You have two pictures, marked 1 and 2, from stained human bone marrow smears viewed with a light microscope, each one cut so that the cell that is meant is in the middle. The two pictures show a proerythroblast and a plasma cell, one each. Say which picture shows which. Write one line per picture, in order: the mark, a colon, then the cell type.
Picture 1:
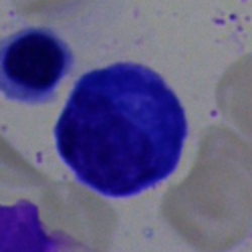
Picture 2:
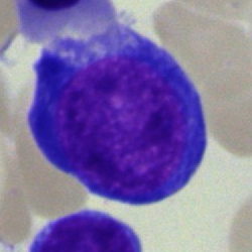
1: plasma cell
2: proerythroblast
